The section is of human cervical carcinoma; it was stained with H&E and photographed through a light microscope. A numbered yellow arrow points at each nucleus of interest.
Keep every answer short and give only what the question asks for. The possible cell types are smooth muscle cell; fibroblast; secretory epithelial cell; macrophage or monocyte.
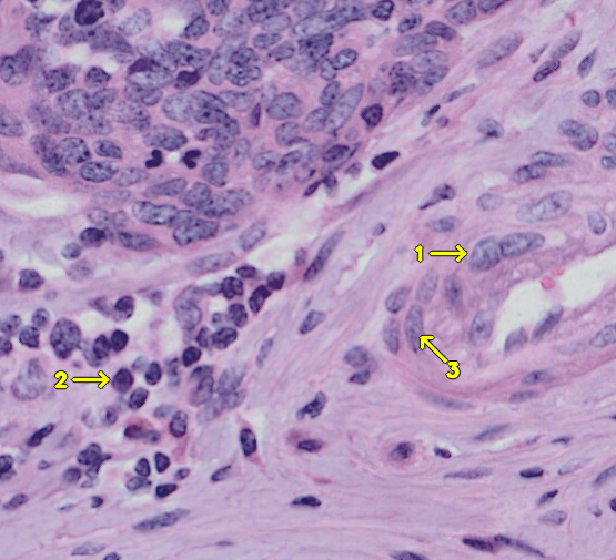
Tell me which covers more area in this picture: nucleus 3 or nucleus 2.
3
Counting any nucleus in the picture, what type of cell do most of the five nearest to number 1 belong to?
smooth muscle cell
